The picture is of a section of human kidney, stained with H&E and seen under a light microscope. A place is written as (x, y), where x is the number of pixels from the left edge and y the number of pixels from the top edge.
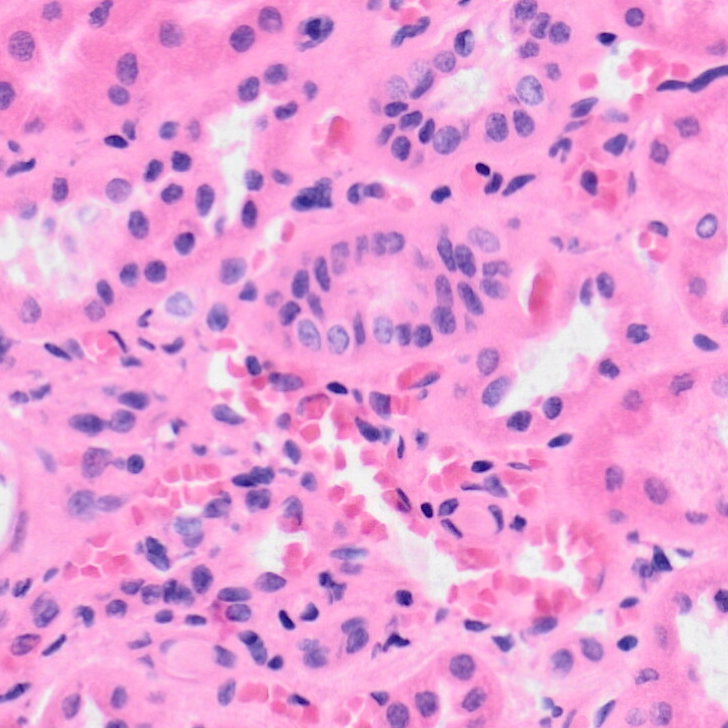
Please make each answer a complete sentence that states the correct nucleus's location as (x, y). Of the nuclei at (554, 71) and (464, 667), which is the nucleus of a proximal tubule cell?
The nucleus of a proximal tubule cell lies at (464, 667), not at the other position.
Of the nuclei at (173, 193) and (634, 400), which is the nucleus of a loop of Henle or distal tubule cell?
Of these two nuclei, only the one at (173, 193) belongs to a loop of Henle or distal tubule cell.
